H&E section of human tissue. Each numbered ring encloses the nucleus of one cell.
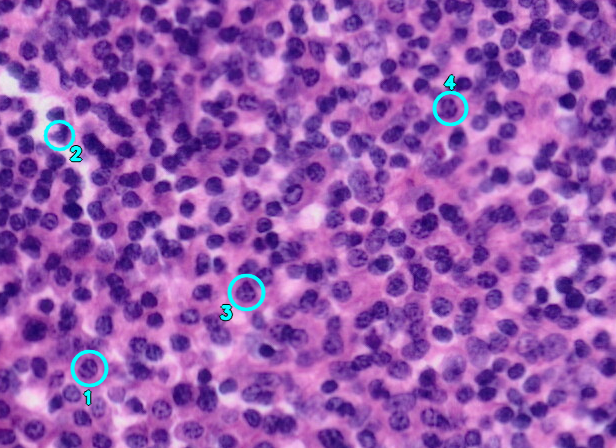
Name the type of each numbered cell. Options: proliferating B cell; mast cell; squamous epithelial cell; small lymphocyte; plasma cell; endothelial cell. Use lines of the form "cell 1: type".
cell 1: plasma cell
cell 2: small lymphocyte
cell 3: plasma cell
cell 4: plasma cell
